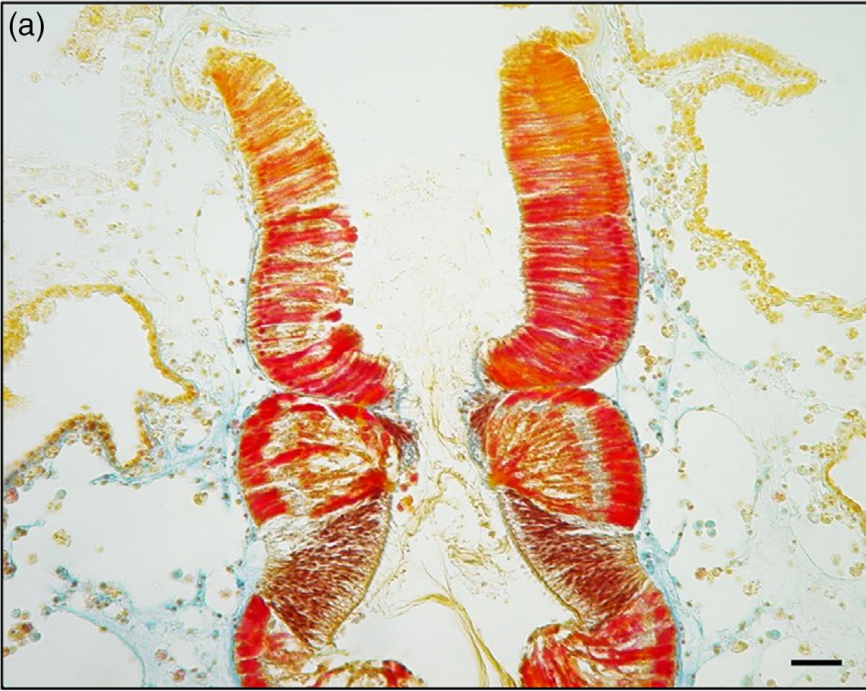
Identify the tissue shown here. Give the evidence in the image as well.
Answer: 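Endostyle. Two mirror-image bands of very tall columnar cells face each other across a central groove. Each band is divided into distinct zones of differently staining columnar cells. Loose tissue with scattered round free cells surrounds the two bands.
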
